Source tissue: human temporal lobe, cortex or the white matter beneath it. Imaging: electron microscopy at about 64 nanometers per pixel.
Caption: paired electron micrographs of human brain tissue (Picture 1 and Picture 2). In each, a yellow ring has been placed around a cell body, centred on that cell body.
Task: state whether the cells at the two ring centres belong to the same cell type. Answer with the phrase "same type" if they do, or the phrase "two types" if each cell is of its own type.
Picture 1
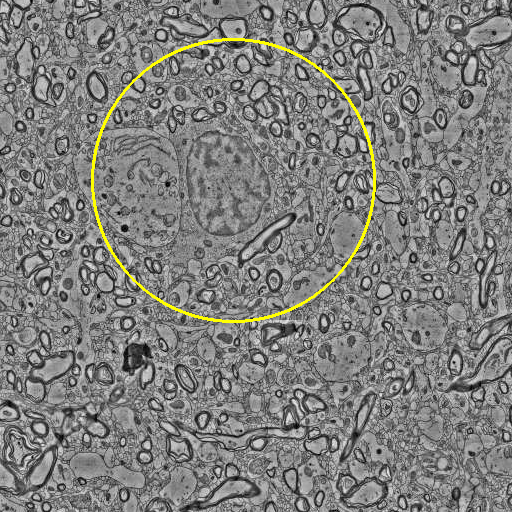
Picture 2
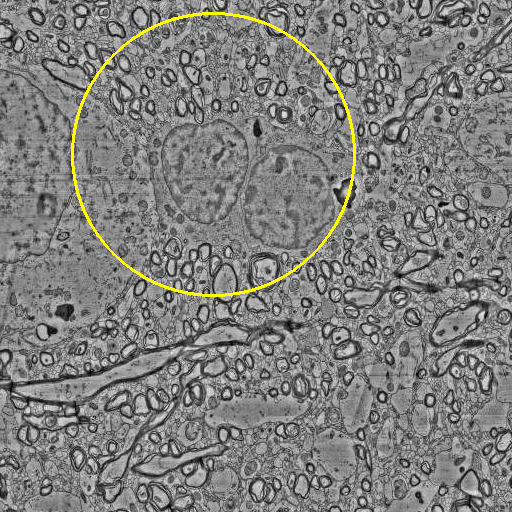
same type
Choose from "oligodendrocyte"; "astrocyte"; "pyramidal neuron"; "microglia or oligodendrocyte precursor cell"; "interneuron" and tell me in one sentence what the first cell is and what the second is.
Each of the ringed cells, first and second, is an oligodendrocyte.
